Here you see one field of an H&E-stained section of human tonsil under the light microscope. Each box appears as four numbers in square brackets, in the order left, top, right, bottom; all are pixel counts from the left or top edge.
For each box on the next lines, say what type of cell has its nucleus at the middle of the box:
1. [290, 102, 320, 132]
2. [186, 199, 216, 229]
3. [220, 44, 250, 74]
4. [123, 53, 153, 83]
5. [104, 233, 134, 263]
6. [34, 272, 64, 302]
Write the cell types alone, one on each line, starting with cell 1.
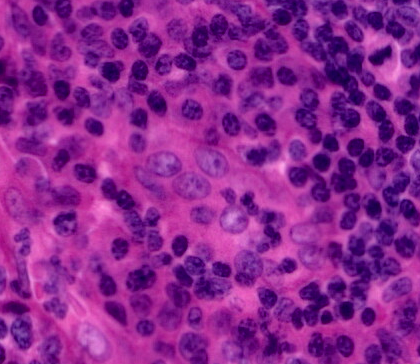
plasma cell
endothelial cell
plasma cell
plasma cell
plasma cell
endothelial cell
